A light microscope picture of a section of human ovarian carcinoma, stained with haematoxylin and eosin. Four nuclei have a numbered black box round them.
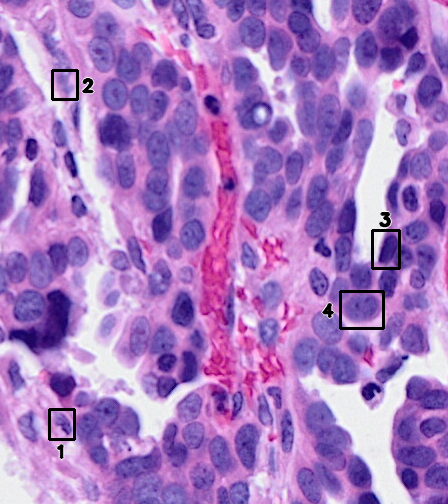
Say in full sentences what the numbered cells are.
Cell 1 is a macrophage or monocyte. Cell 2 is a fibroblast. Cells 3 and 4 are carcinoma cells.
